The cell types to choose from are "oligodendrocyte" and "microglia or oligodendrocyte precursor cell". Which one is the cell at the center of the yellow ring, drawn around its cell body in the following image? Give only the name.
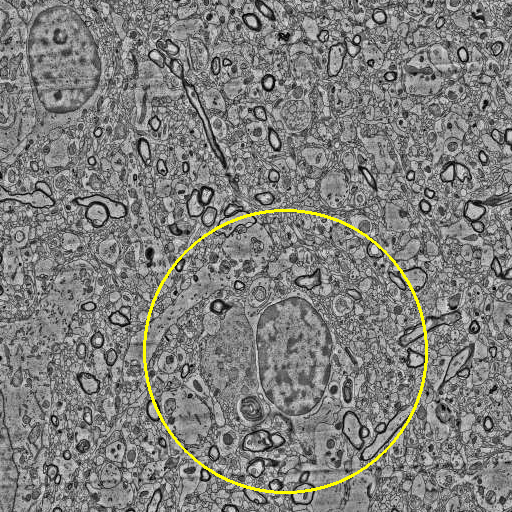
microglia or oligodendrocyte precursor cell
